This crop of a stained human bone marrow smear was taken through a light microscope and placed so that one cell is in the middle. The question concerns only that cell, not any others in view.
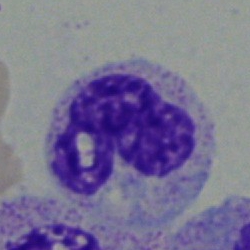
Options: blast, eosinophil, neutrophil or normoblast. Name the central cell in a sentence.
By type, the central cell of the crop is a neutrophil.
